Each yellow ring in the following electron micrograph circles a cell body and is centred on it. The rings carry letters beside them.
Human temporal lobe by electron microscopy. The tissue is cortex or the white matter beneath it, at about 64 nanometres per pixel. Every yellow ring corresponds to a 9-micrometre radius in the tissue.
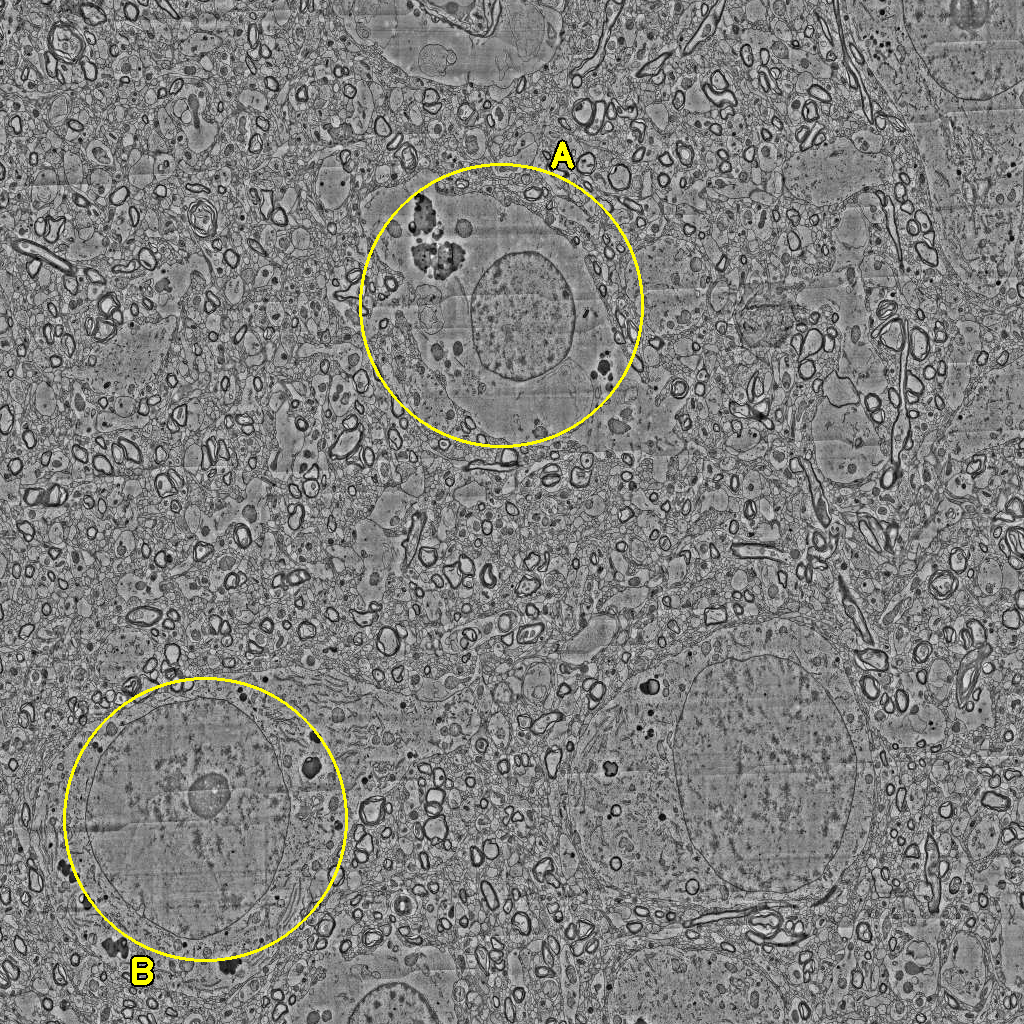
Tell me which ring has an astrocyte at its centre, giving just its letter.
A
